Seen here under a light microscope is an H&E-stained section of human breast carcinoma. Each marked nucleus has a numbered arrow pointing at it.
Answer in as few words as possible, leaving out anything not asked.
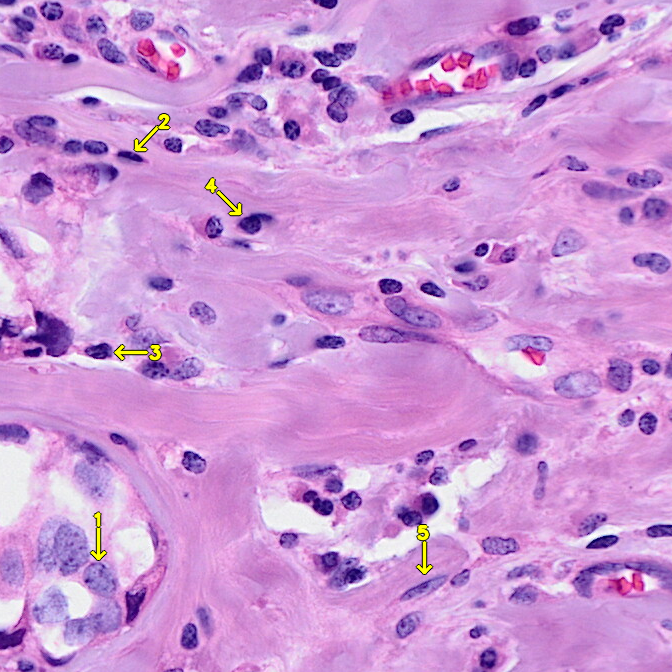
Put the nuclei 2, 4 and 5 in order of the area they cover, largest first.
5, 4, 2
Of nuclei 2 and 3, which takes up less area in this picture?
2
